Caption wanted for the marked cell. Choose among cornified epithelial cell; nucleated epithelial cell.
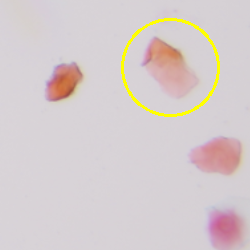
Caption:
Ringed in yellow is a cornified epithelial cell.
